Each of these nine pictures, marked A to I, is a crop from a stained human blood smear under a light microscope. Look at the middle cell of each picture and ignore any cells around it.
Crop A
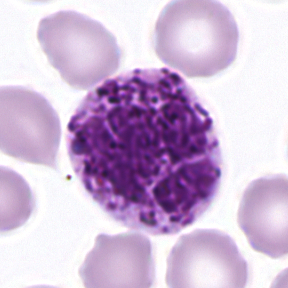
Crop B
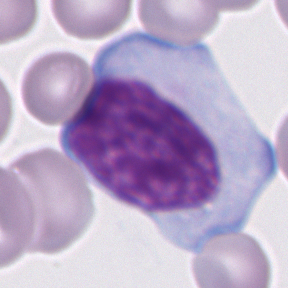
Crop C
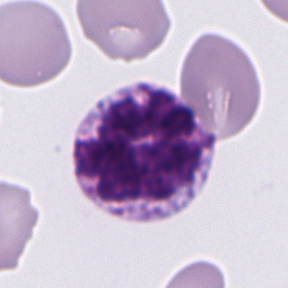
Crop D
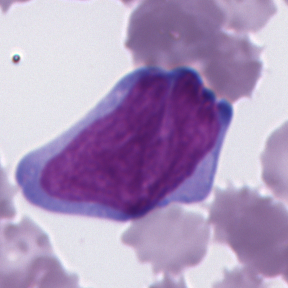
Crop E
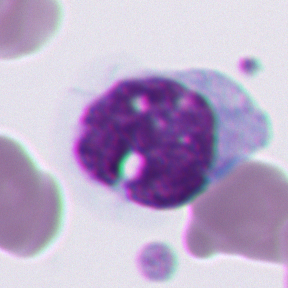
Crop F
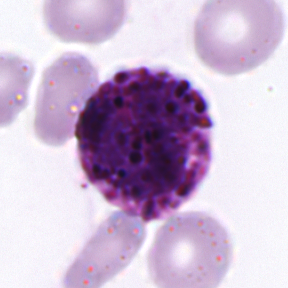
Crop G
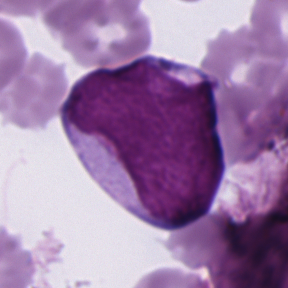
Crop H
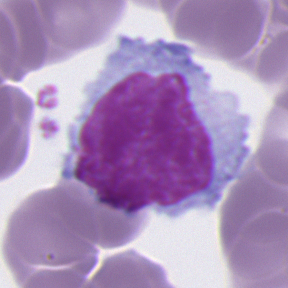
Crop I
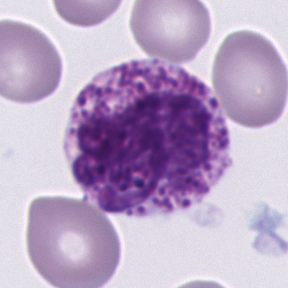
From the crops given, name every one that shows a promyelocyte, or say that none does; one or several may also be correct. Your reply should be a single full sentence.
Findings: not one crop in the series shows a promyelocyte.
